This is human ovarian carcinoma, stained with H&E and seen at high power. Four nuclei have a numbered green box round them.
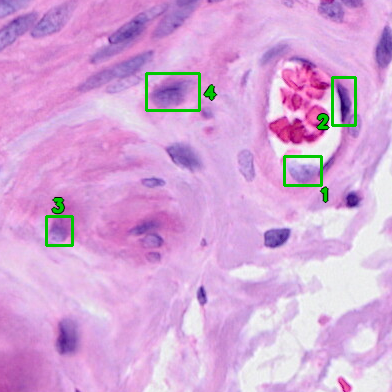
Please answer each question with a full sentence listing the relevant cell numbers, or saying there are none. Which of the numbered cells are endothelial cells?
The cells numbered 1 and 2 fall into the category of endothelial cells.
